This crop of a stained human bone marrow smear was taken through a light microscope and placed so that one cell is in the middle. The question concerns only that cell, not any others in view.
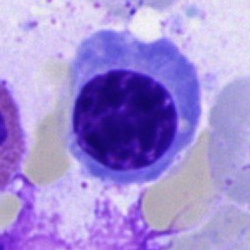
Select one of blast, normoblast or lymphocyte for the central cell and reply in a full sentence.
The cell found in the middle of this crop is a normoblast.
